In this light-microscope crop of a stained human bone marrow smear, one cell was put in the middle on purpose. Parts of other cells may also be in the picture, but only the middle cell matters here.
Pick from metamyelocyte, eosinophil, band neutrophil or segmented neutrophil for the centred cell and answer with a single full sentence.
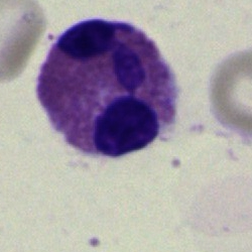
The crop shows an eosinophil in its centre.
